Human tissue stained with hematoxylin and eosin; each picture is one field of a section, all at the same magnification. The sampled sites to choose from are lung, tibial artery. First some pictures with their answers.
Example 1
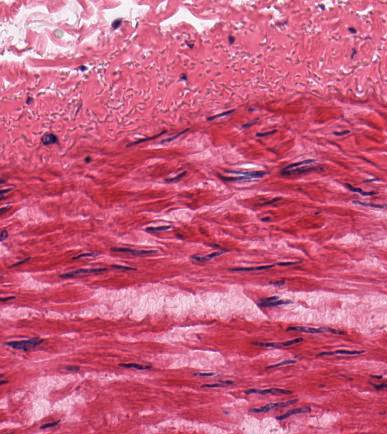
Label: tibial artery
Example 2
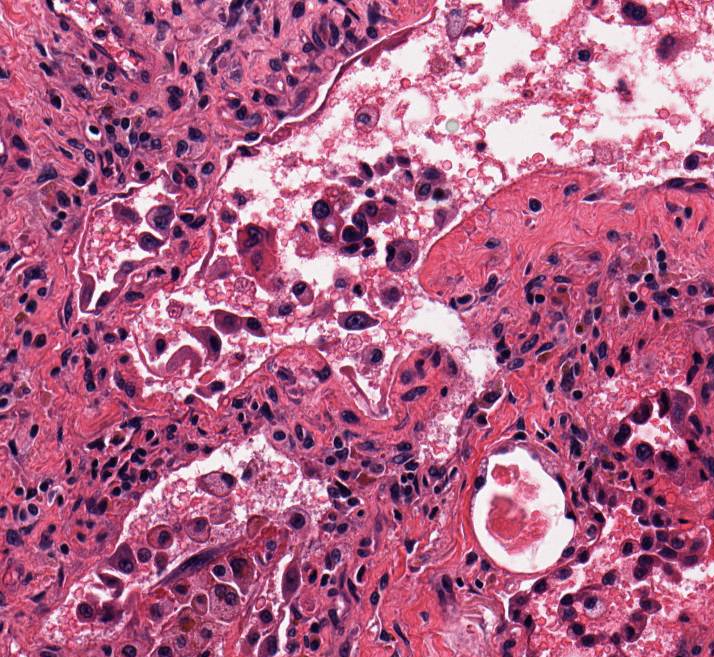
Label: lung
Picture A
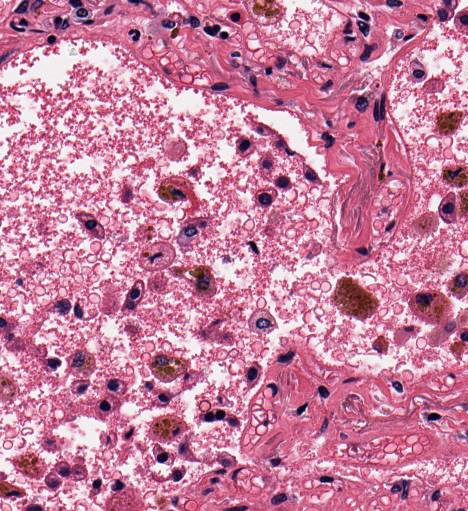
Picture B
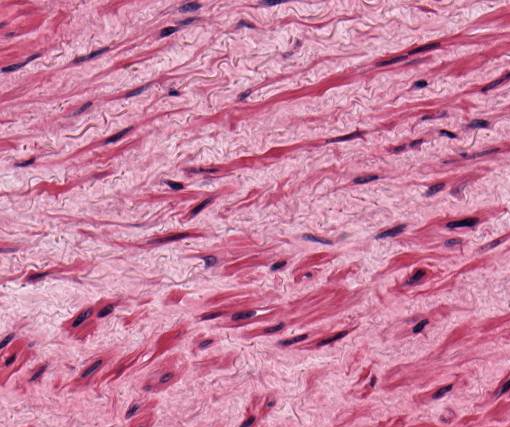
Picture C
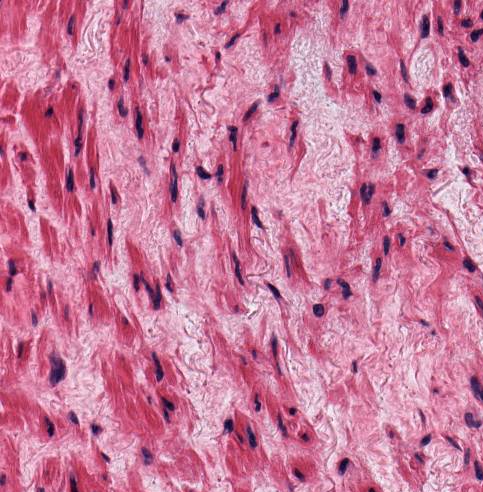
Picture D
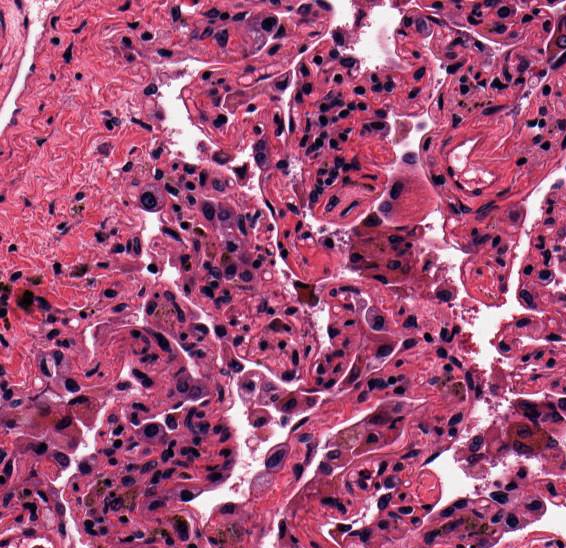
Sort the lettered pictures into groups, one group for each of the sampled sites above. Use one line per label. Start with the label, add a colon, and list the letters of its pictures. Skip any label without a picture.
lung: A, D
tibial artery: B, C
